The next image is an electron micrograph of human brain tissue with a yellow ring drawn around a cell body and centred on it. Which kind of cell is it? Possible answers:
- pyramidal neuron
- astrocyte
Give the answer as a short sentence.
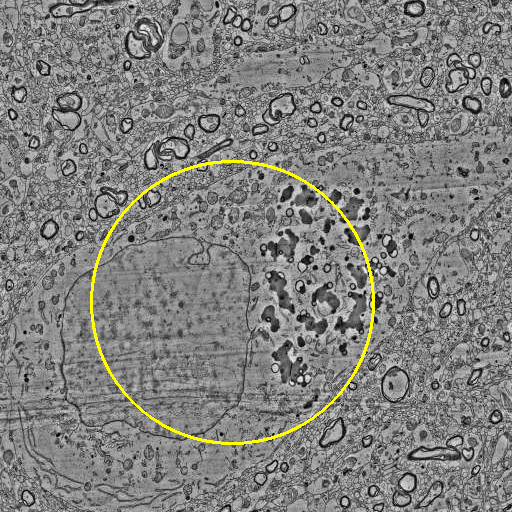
In the ring's centre is a pyramidal neuron.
